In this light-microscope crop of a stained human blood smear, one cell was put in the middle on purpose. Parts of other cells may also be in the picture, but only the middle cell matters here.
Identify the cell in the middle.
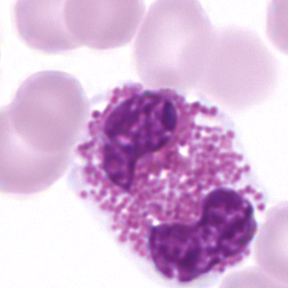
eosinophil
